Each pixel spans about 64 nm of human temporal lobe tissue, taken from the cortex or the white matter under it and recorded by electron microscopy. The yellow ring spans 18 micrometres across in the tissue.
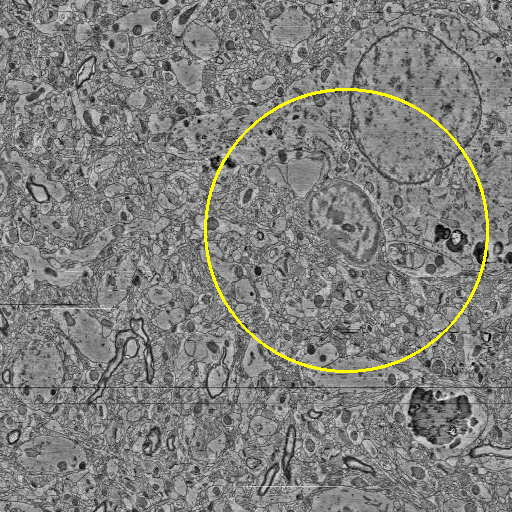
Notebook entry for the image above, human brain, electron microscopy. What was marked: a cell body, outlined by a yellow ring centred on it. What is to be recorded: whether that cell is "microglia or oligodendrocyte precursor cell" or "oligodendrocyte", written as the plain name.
oligodendrocyte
